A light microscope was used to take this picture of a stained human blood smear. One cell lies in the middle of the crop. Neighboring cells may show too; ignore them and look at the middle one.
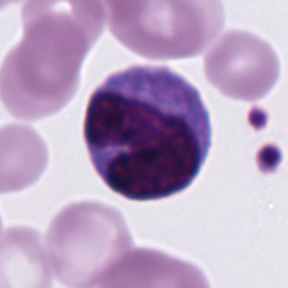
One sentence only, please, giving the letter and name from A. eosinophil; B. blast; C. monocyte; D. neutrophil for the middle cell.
The correct choice is option C, which identifies the middle cell as a monocyte.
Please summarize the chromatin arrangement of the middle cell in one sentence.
Its chromatin is clumped in a coarse pattern.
